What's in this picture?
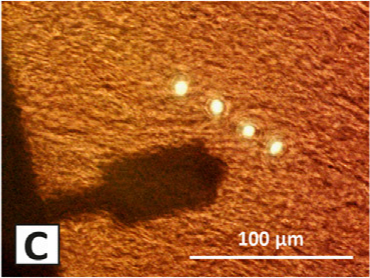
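The matrix around them has a streaky, fibrous texture running in roughly the same direction. A dark, rounded shadow reaches in from the lower left beneath the line of cells.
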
